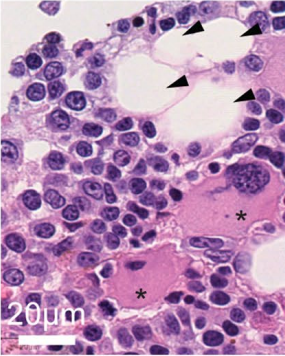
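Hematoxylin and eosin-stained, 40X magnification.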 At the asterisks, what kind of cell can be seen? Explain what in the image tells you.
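The marked cells are far larger than the surrounding cells. They have abundant pink cytoplasm. Their nuclei are large and lobed.
Hence: megakaryocytes.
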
